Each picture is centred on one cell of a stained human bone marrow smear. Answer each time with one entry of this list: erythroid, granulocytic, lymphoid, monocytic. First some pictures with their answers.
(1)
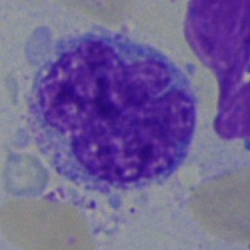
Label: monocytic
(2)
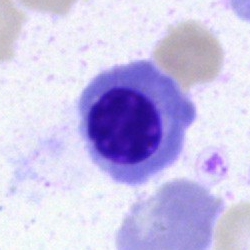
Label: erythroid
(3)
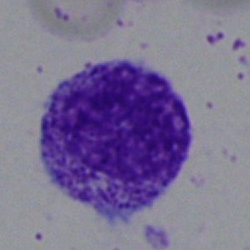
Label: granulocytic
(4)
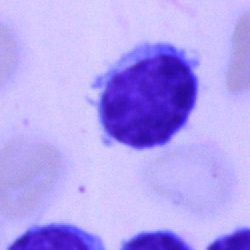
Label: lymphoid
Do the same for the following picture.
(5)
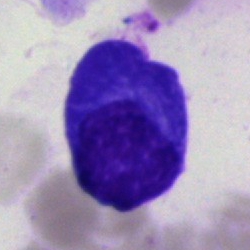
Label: lymphoid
